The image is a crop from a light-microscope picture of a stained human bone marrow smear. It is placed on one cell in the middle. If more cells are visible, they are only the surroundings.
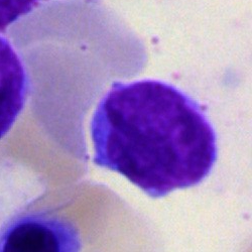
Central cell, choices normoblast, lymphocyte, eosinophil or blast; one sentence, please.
The cell at the central position in this crop is a blast.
